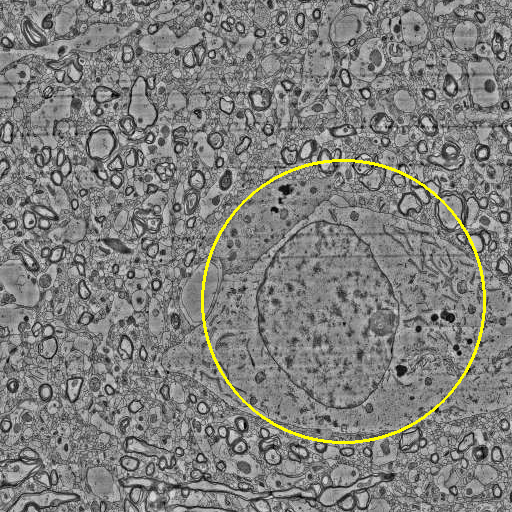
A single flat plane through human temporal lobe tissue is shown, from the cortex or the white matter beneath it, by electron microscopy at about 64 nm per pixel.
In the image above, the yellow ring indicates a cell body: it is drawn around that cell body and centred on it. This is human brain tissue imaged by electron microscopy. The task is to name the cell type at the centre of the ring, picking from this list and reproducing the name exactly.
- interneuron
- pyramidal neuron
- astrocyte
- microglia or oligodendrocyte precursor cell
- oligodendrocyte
pyramidal neuron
